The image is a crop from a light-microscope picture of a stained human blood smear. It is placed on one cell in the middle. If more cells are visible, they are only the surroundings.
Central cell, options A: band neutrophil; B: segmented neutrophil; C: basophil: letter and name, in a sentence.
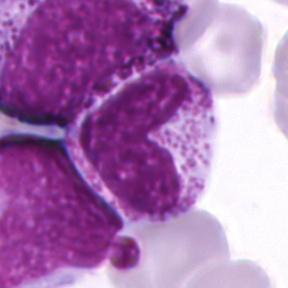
Option A is correct, and the cell in the centre is a band neutrophil.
